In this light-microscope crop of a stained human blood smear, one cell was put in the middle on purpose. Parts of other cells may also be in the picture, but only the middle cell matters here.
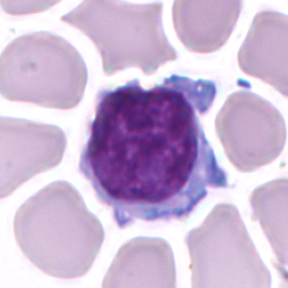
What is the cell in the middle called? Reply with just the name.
plasma cell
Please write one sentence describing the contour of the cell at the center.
An irregular outline, ragged or marked by projections, surrounds this cell.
